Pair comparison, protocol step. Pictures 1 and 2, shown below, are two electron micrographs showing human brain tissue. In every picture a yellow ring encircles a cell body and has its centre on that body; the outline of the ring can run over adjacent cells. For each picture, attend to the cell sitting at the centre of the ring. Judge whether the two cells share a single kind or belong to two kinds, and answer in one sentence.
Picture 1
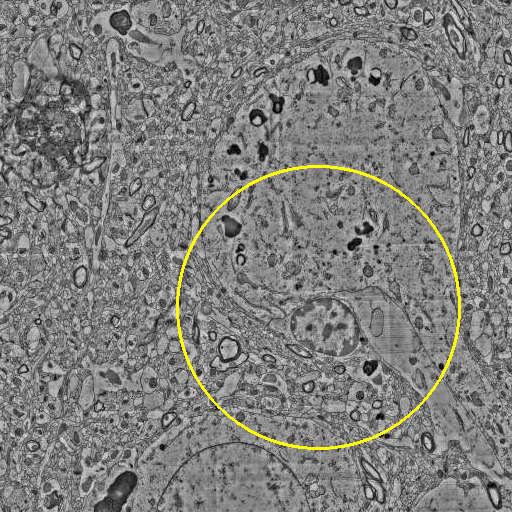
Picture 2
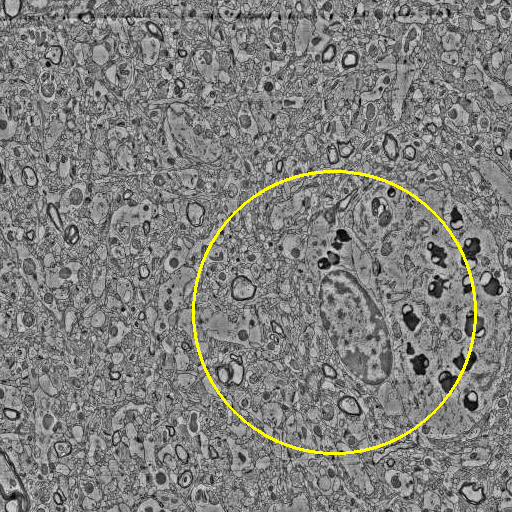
The two cells at the ring centres in Picture 1 and Picture 2 share a single kind.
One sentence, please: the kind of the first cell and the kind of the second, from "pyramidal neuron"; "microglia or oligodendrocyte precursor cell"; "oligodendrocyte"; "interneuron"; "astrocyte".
The second cell is a microglial cell or oligodendrocyte precursor cell, just as the first is.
